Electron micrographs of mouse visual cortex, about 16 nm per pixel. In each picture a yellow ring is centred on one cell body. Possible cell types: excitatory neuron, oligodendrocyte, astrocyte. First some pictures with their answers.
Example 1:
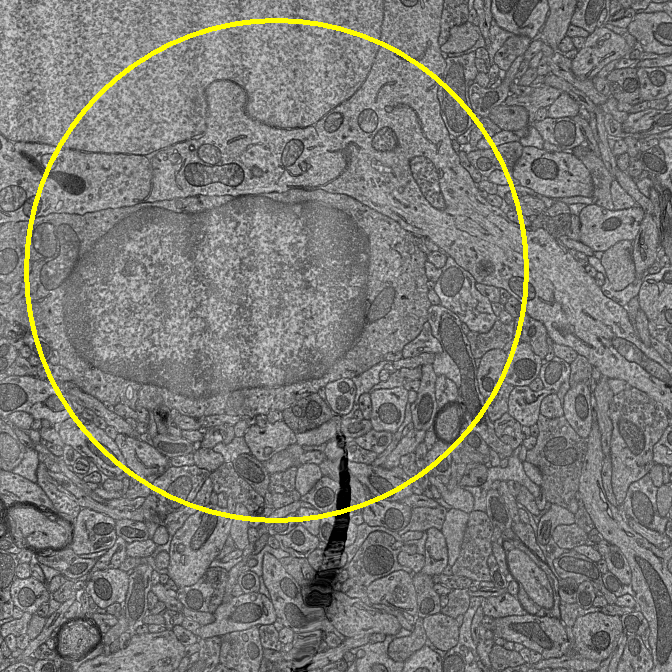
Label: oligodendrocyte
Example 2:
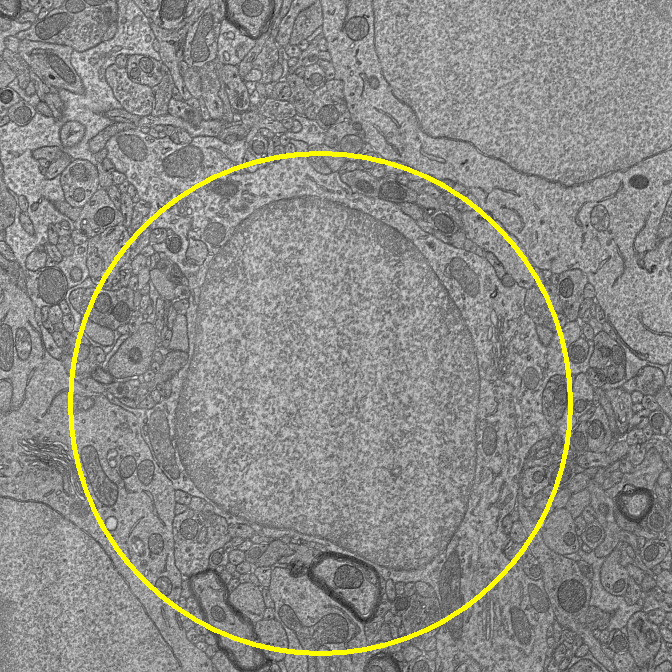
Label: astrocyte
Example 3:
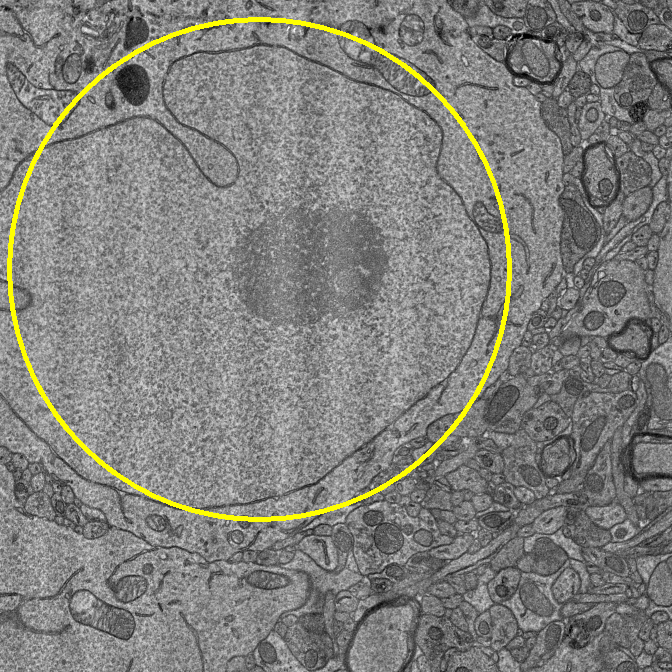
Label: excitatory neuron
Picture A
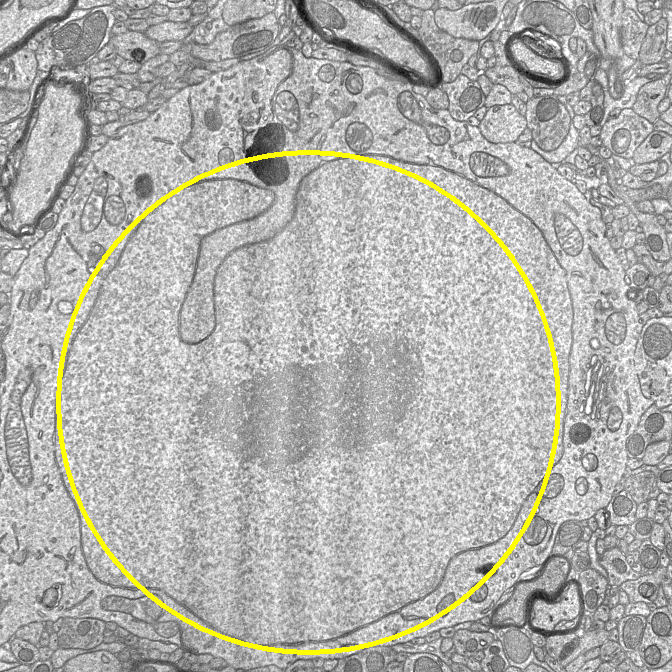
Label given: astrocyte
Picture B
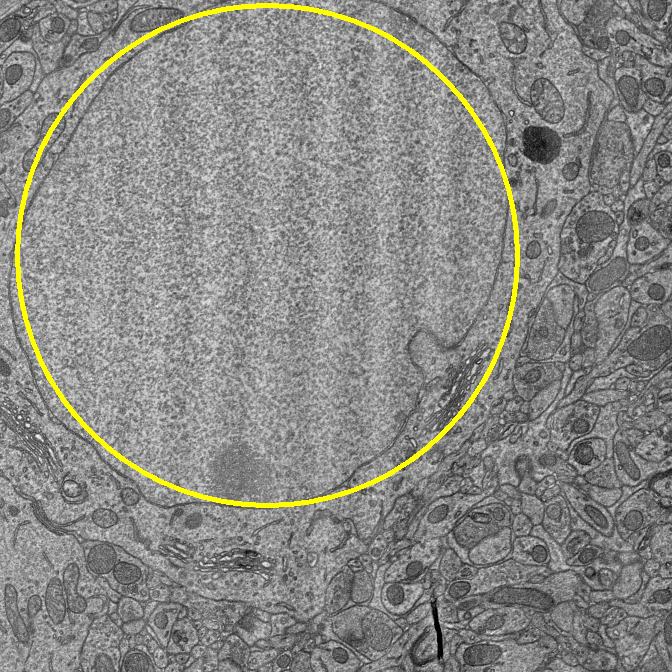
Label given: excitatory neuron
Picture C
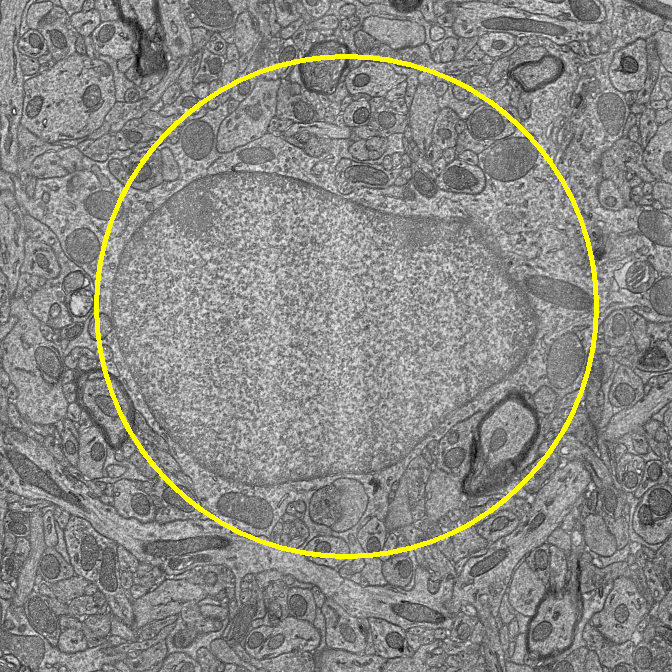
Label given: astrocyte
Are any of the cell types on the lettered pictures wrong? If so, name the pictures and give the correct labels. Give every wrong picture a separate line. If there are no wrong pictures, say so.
A is labelled astrocyte; correct label: excitatory neuron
